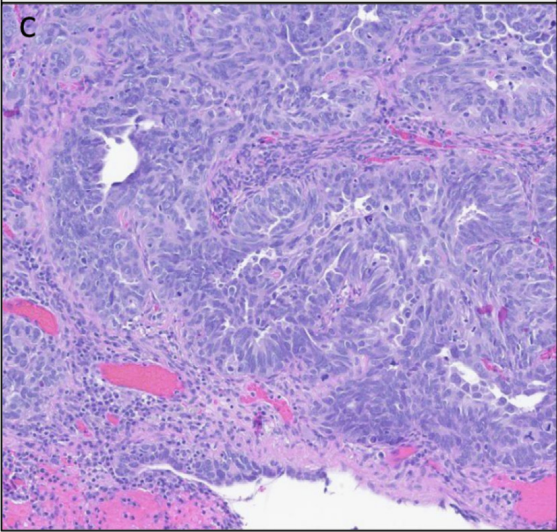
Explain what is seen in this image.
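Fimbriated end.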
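This medium-power view shows crowded tumour cells of the fallopian tube forming solid nests with small slit-like and round gland spaces scattered through them. The cells are closely packed with oval, dark nuclei and little cytoplasm, arranged haphazardly rather than as a single orderly lining. Thin bands of pink stroma with red blood-filled vessels run between and beneath the nests.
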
